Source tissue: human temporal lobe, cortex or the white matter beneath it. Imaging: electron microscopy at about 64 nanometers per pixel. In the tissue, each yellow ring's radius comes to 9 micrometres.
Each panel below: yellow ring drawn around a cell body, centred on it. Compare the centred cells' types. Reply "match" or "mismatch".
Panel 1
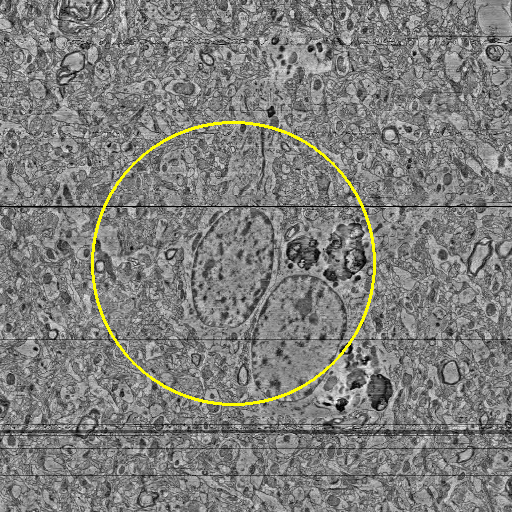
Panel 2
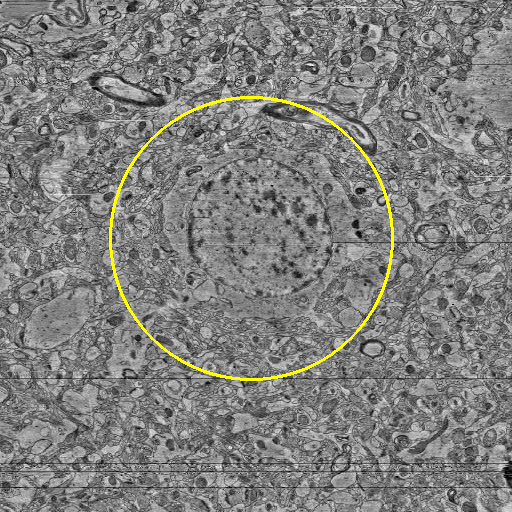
match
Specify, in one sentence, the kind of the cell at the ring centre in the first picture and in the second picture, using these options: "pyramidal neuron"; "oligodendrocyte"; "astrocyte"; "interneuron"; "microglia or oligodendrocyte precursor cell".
The first and the second cell are each an astrocyte.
